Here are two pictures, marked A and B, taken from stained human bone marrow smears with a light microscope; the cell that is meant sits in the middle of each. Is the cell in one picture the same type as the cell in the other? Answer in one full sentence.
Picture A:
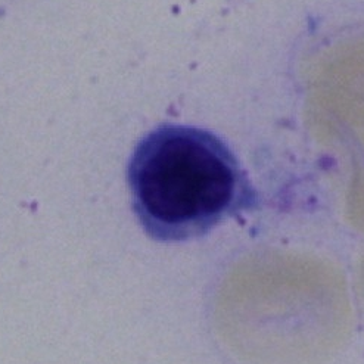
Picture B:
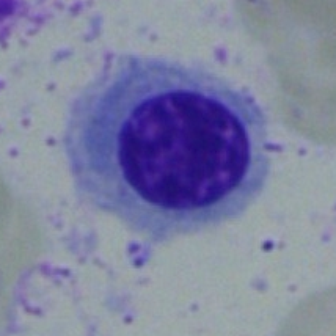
Yes, both cells are erythroblasts.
